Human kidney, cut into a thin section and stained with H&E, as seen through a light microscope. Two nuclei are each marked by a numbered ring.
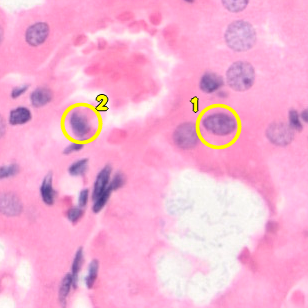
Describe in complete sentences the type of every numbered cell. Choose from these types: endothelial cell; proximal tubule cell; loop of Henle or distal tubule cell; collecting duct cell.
Cell 1 is a proximal tubule cell and cell 2 is an endothelial cell.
